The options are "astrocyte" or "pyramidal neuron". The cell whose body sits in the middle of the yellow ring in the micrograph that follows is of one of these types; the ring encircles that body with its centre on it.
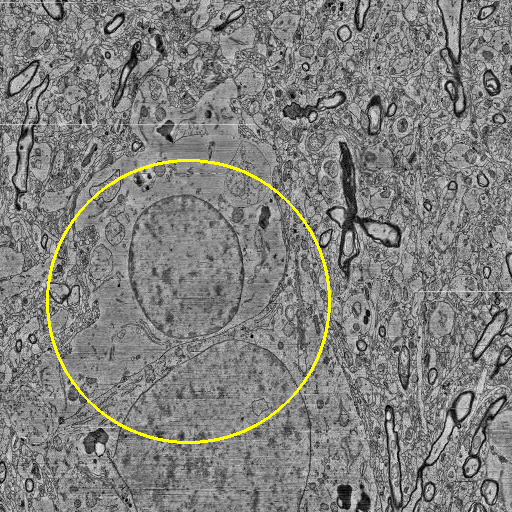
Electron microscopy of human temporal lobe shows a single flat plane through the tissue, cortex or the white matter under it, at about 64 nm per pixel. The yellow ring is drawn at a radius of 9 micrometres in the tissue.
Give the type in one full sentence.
Going by the micrograph, the cell centred in the yellow ring is an astrocyte.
